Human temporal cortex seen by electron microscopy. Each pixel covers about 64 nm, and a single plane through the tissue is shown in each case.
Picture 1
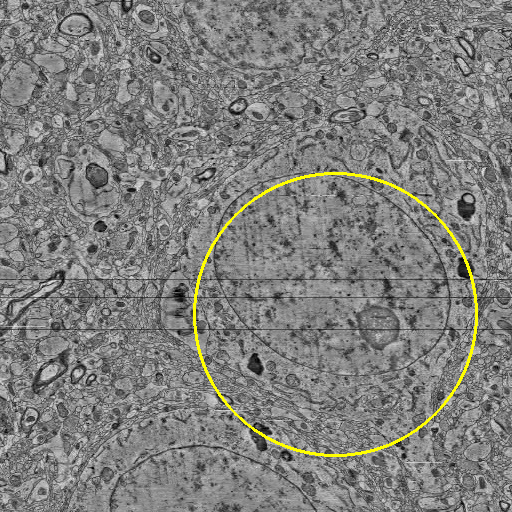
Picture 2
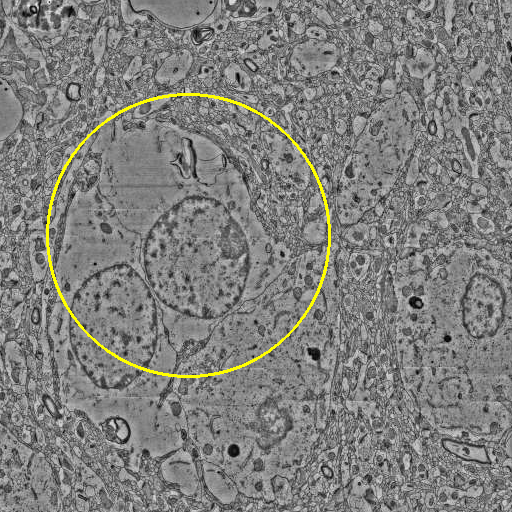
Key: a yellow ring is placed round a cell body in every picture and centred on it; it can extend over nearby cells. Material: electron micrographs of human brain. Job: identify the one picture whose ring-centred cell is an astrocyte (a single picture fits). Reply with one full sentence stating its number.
Picture 2 is the one with the sought cell at the centre of its ring.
